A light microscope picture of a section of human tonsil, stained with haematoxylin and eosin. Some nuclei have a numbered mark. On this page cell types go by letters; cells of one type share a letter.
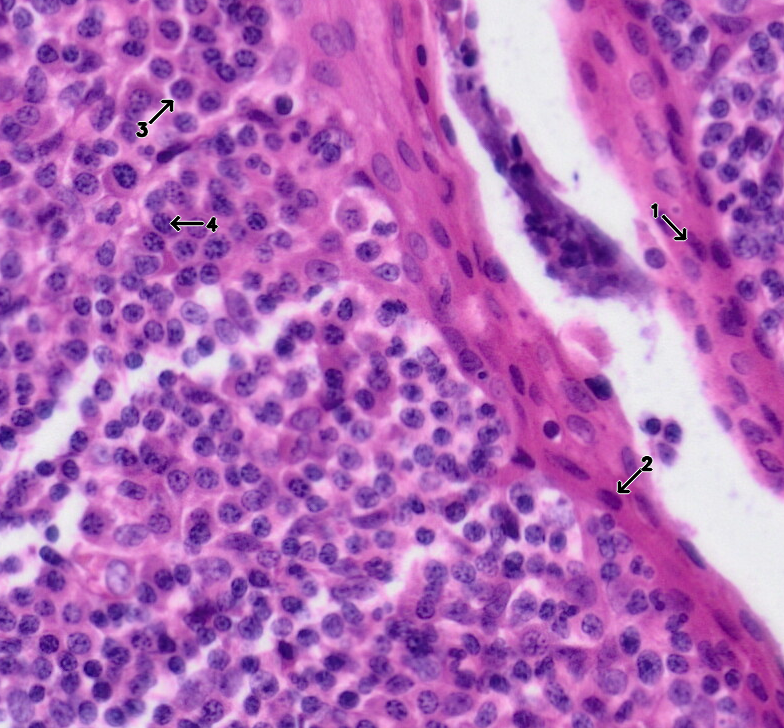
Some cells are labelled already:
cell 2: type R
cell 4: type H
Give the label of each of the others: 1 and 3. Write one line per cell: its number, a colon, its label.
1: type R
3: type H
